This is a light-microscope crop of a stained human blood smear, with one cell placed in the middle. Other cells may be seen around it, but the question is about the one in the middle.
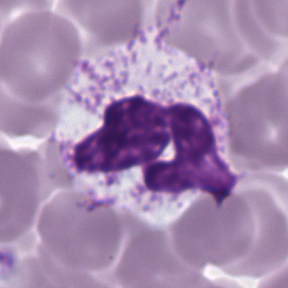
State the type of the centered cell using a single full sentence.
The cell at the heart of this crop is a segmented neutrophil.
